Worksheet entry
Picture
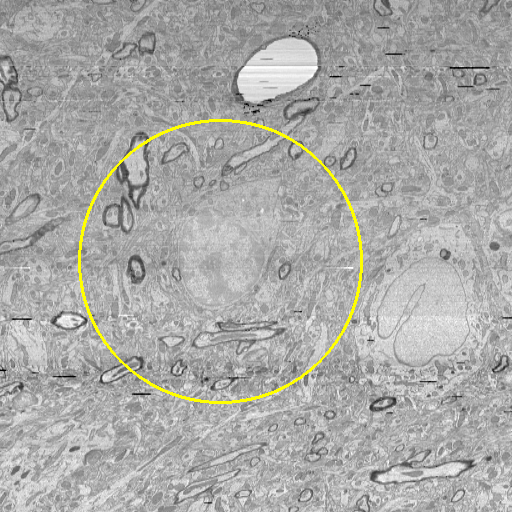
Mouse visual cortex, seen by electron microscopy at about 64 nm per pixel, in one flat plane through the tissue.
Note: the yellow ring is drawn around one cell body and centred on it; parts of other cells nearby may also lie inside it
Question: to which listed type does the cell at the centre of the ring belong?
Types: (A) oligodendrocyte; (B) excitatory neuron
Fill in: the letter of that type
A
